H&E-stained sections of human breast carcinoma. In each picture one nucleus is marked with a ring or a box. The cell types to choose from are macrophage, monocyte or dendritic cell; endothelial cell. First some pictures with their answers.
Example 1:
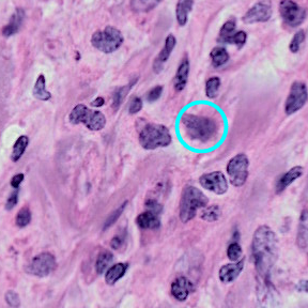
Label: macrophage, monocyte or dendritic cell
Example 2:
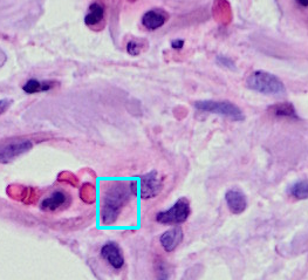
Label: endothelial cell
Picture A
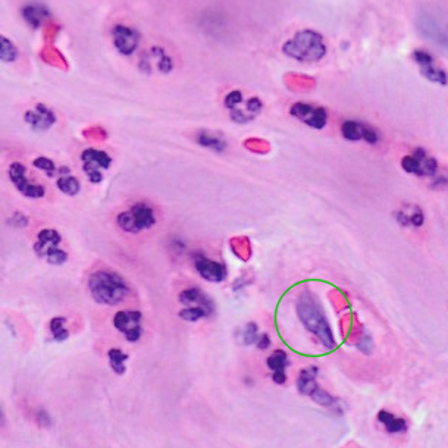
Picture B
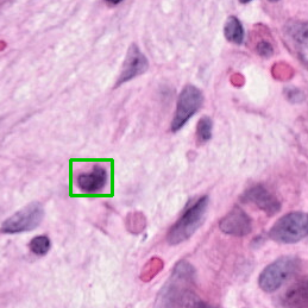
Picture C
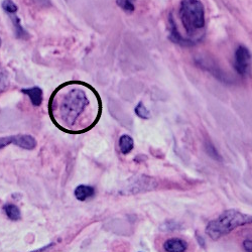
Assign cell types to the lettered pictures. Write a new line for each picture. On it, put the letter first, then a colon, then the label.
A: endothelial cell
B: macrophage, monocyte or dendritic cell
C: macrophage, monocyte or dendritic cell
